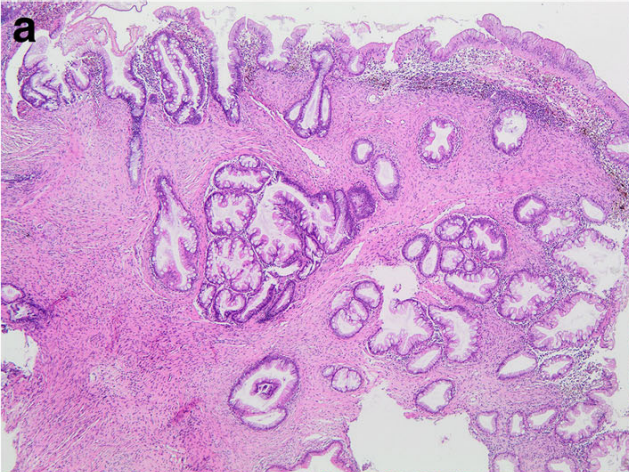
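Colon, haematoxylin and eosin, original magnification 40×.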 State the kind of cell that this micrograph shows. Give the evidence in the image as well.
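Pink, fibrillar stroma of elongated cells fills the space between the glands. The answer: benign-appearing eosinophilic spindled cells.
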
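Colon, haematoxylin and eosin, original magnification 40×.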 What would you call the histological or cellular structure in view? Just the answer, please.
Serrated architecture.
